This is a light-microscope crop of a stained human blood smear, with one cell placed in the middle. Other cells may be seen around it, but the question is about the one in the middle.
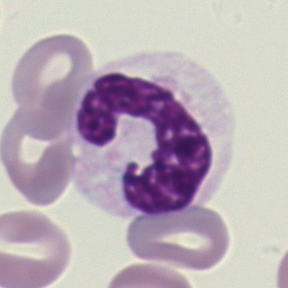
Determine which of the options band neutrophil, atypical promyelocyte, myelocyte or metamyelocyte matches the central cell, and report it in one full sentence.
The centrally positioned cell in the crop represents a band neutrophil.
